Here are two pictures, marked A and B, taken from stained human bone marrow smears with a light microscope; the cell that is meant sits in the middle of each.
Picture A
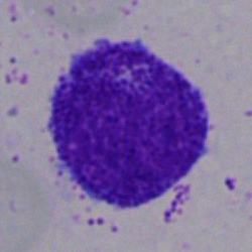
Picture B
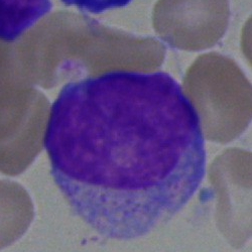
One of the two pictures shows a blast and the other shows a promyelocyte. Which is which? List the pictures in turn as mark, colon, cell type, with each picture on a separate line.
A: promyelocyte
B: blast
